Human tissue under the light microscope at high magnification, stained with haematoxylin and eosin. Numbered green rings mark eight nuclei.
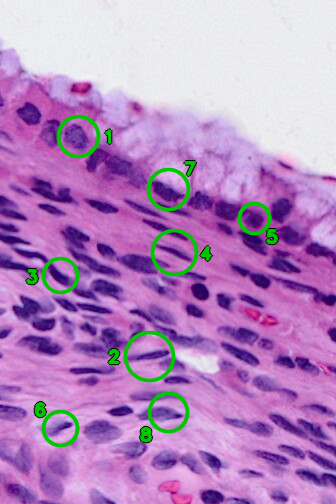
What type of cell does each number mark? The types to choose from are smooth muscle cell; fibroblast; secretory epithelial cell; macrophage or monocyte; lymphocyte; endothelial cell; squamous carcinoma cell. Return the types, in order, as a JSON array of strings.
["secretory epithelial cell", "fibroblast", "fibroblast", "fibroblast", "secretory epithelial cell", "fibroblast", "secretory epithelial cell", "fibroblast"]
